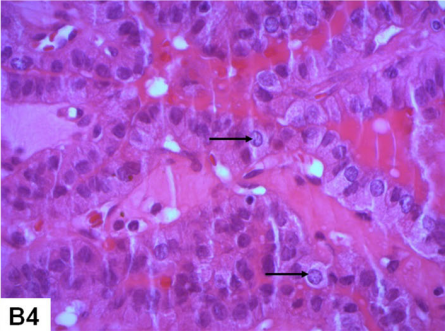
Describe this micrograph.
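Papillary thyroid carcinoma tumor cells line papillae around pink fibrovascular cores at high magnification. The cells are columnar to cuboidal with moderate pink cytoplasm, and their nuclei overlap one another. Few lymphocytes are seen among the tumor cells.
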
